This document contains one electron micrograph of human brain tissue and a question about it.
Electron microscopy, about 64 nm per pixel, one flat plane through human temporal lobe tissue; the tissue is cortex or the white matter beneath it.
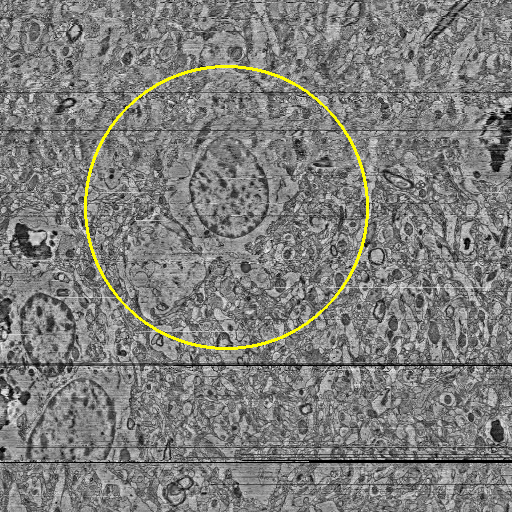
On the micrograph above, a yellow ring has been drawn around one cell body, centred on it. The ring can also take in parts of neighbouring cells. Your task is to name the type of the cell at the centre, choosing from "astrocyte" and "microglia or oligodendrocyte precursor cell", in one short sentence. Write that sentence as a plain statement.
Here the ring is centred on an astrocyte.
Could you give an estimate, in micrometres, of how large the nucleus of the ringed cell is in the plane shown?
Roughly 6 by 5 micrometres in this plane, for the nucleus of the ringed cell.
